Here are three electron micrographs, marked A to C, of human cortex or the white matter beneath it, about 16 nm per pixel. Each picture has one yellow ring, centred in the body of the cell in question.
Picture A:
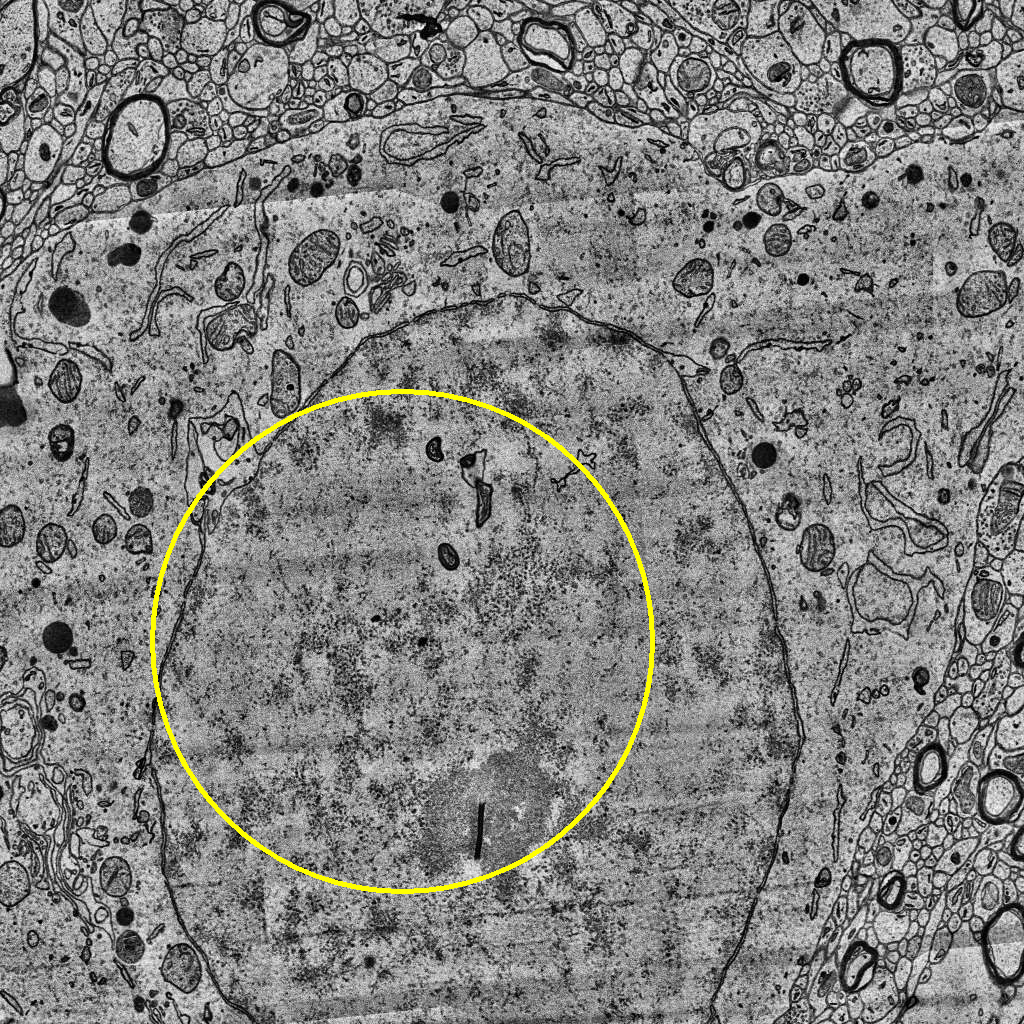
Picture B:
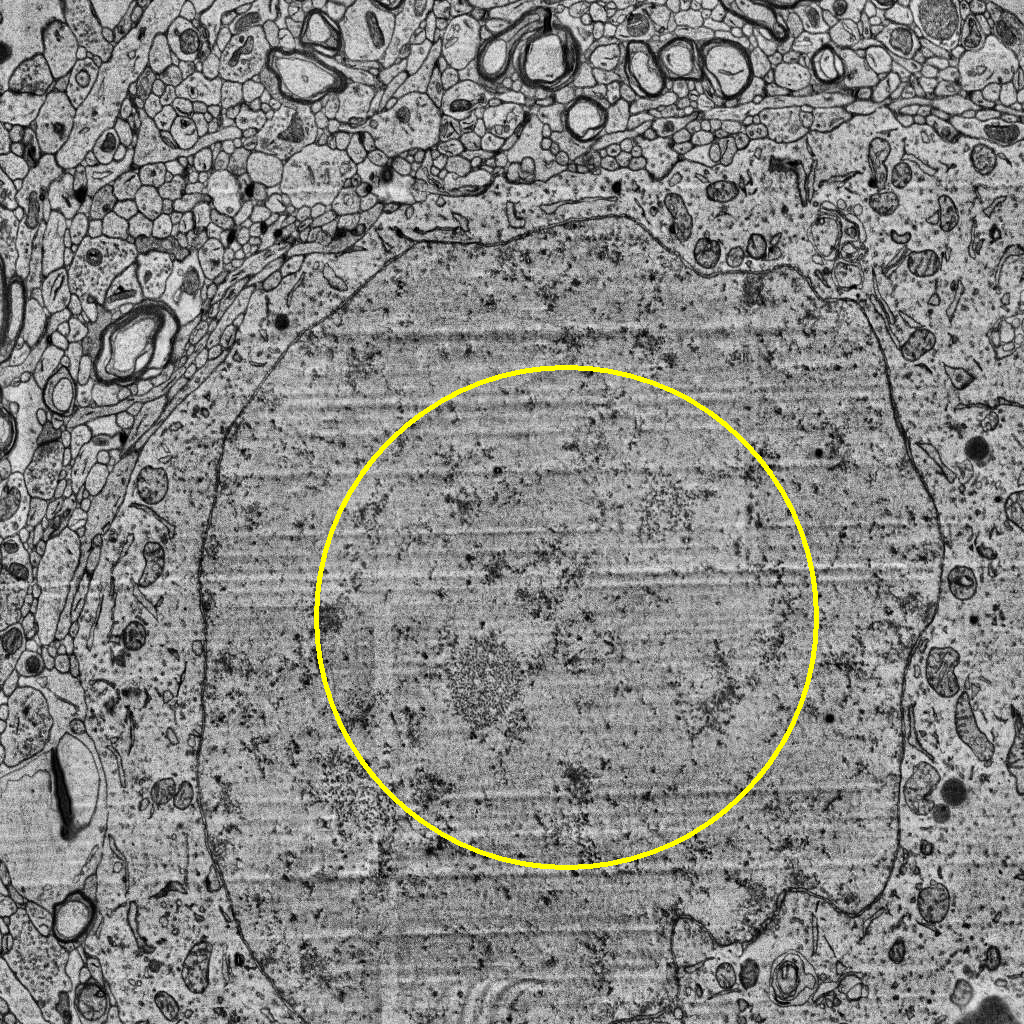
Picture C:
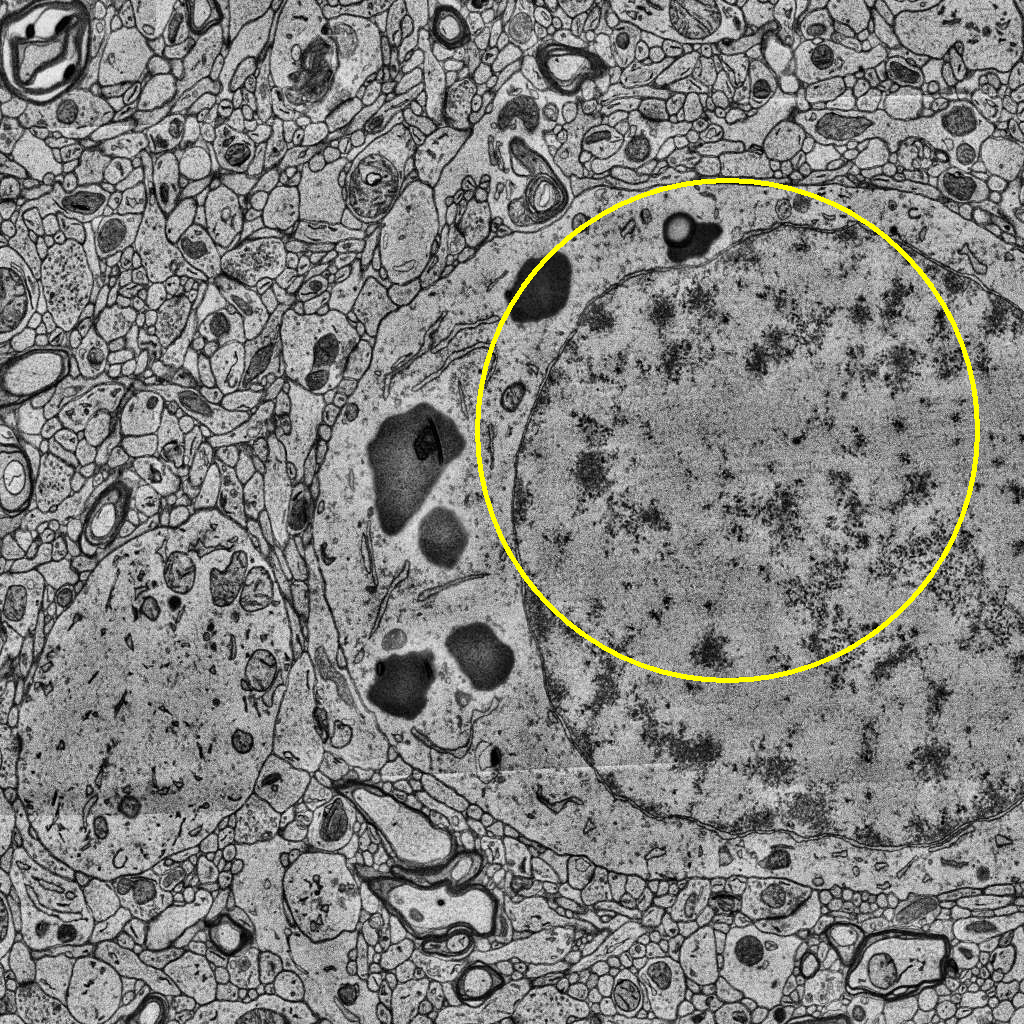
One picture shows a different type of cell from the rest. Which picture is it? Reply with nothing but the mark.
C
